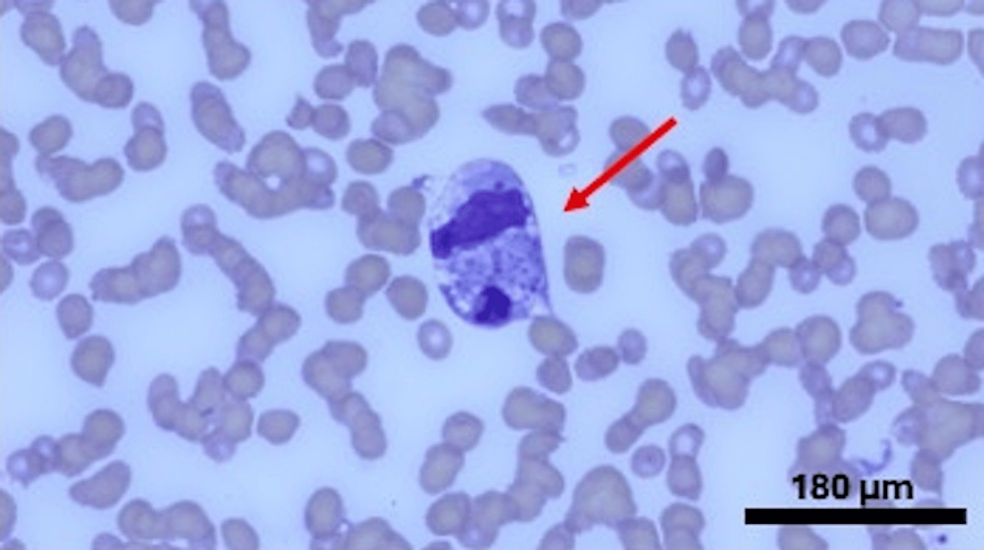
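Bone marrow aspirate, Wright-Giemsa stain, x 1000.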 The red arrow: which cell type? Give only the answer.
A: Histiocyte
